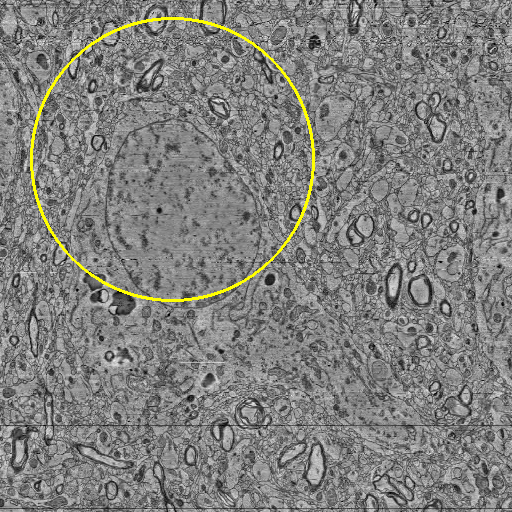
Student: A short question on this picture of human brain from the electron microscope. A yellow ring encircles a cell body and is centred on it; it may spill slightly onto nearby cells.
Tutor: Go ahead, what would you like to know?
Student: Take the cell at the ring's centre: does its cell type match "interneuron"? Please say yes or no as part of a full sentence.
No, the cell found at the ring's centre in the picture has another cell type.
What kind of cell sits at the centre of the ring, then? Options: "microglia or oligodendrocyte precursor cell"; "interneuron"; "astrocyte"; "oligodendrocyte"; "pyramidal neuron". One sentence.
That cell in the ring is a pyramidal neuron instead.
